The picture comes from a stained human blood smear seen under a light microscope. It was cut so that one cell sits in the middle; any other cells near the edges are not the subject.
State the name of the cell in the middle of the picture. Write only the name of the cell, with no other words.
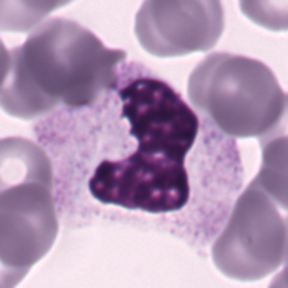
band neutrophil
